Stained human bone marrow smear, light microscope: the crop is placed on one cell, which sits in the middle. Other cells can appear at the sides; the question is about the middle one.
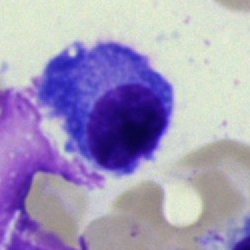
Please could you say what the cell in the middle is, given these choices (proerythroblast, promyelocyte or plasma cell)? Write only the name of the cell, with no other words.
plasma cell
